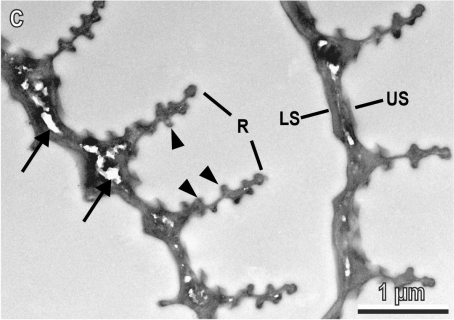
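Cross section of insect scales shows thin electron-dense cuticular walls made of a lower and an upper surface lying close together. Short ridges project from the walls and carry small globular side bulges, the cuticular microribs. Small bright empty spaces, nanovoids, lie in places between the two surfaces, mostly where the walls branch.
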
